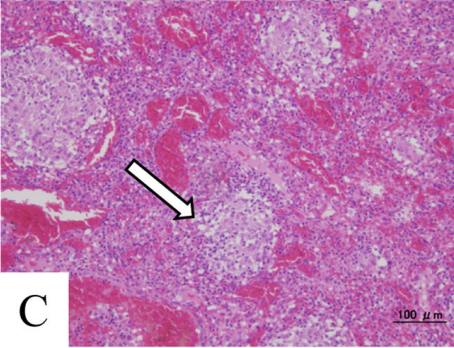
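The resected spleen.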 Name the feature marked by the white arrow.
Noncaseating epithelioid granulomas.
